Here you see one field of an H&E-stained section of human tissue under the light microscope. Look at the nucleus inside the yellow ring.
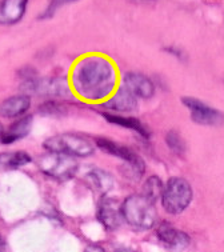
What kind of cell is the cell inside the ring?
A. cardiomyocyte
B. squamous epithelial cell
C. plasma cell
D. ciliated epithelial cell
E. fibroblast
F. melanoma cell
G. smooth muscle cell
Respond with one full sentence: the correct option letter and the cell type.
The correct pick is option D; the cell inside the ring is a ciliated epithelial cell.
